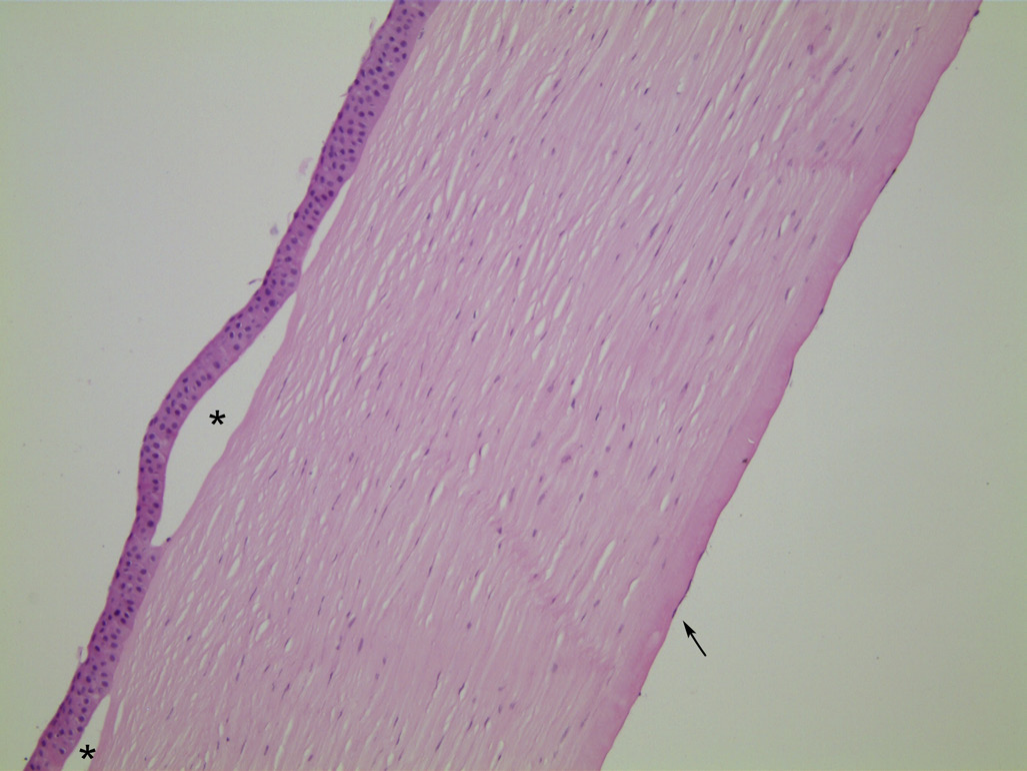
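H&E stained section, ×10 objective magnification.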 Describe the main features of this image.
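This is a full-thickness strip of cornea, with a stratified epithelium on one side, a thick collagenous stroma in the middle and a thin endothelial lining on the other side. In several places the epithelium is lifted off the stroma, leaving clear, empty spaces beneath it. The stroma is a broad band of pink lamellae, mostly running in one direction. Scattered thin, elongated dark nuclei and many slit-like clefts lie among the lamellae. On the opposite surface, only a thin line of flattened cells with sparse flat nuclei can be made out, and it is seen over short stretches only.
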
